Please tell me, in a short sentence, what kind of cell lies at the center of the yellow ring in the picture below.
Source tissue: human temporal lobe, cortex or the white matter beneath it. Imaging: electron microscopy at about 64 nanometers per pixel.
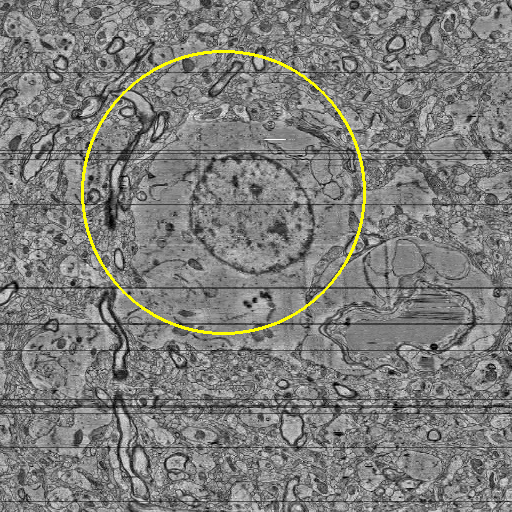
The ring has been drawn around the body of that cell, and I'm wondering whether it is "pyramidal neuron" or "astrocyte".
The cell at the center of the ring is an astrocyte.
